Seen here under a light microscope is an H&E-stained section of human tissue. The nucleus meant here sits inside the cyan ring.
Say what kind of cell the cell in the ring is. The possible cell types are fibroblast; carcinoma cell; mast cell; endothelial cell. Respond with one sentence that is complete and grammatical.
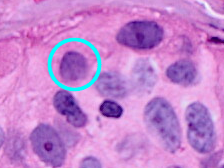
For cell typing purposes, the cell in the ring is a carcinoma cell.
